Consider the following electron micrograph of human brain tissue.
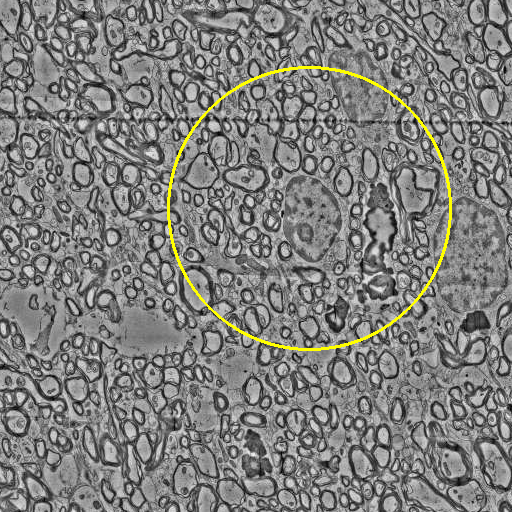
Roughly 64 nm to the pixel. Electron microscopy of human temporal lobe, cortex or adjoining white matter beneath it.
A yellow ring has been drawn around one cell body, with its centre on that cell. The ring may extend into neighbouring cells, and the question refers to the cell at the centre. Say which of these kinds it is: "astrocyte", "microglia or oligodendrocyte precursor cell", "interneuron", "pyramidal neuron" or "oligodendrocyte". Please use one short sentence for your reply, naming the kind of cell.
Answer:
The centre of the ring falls on a microglial cell or oligodendrocyte precursor cell.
